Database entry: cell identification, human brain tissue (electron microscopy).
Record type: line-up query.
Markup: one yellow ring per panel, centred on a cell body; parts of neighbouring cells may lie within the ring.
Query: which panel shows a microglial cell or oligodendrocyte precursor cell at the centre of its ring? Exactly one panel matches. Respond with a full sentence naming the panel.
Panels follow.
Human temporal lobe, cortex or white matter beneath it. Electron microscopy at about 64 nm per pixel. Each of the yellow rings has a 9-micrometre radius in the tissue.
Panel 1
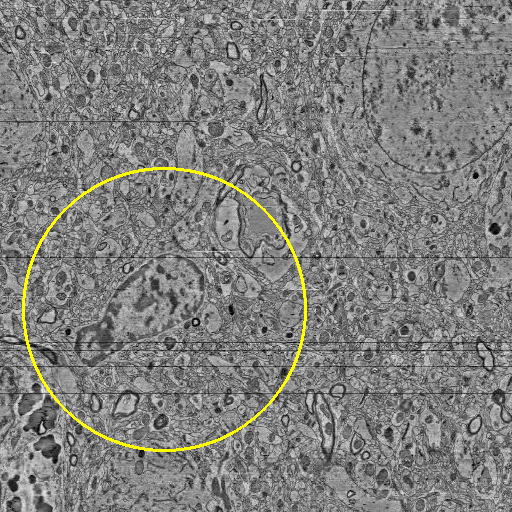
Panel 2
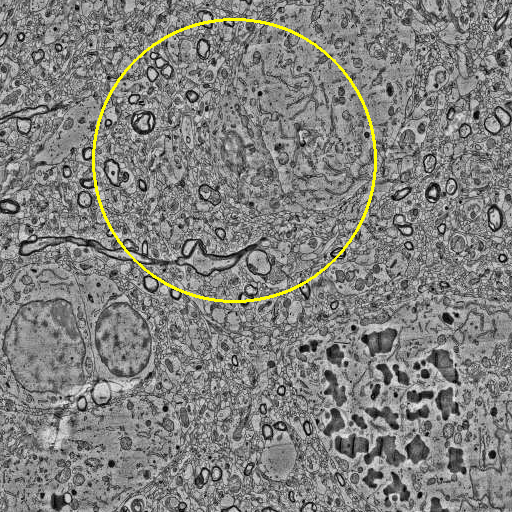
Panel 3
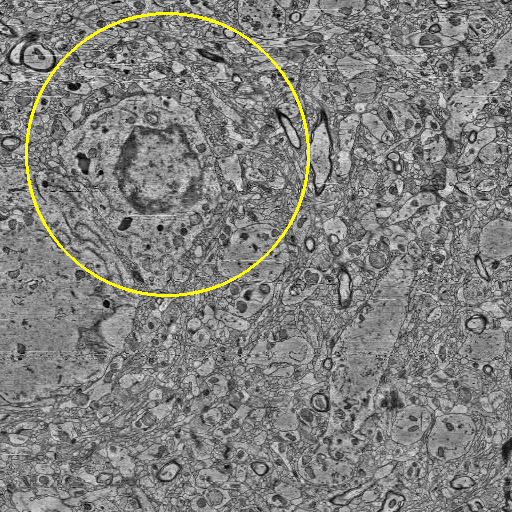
Panel 1 shows it at the centre of the ring.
